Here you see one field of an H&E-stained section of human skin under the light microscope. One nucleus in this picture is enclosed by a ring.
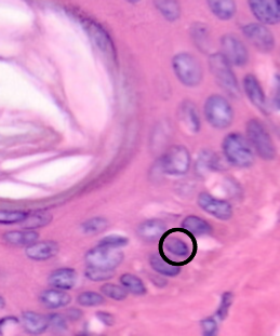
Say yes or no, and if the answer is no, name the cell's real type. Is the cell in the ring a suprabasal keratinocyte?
No, it is a basal keratinocyte.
